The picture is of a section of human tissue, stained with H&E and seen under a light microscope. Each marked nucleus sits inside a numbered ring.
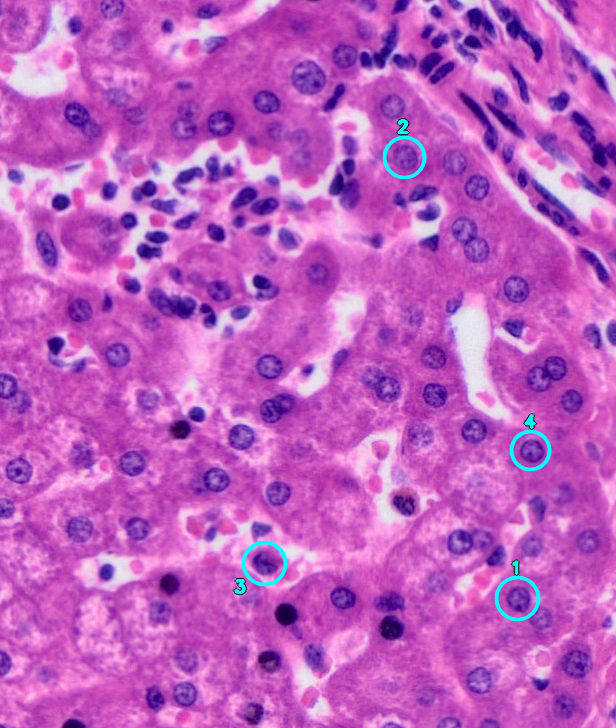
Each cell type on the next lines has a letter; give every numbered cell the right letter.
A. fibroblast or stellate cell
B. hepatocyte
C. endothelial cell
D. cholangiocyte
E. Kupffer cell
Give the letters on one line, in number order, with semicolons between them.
B; B; E; B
